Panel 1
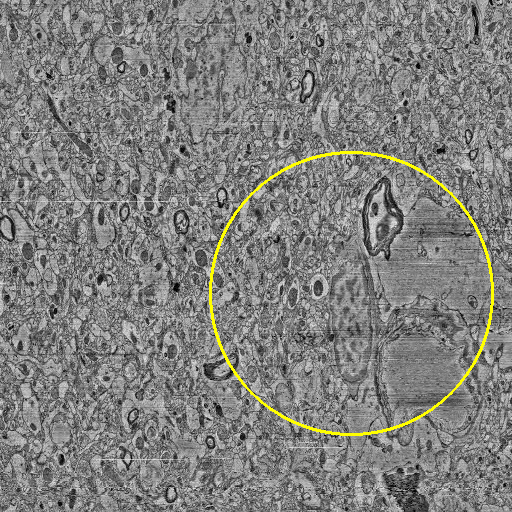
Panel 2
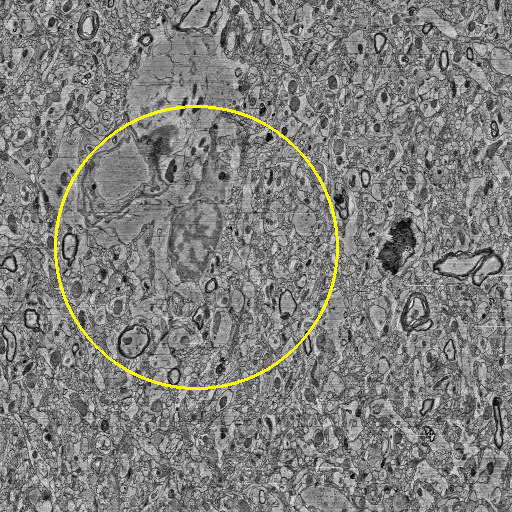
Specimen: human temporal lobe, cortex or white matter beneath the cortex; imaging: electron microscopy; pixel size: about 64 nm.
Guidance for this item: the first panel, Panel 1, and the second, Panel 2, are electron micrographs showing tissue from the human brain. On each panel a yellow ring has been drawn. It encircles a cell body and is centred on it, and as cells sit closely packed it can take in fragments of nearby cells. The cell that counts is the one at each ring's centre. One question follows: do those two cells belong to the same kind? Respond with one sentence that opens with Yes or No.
Yes, the cells at the ring centres in Panel 1 and Panel 2 are of one kind.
